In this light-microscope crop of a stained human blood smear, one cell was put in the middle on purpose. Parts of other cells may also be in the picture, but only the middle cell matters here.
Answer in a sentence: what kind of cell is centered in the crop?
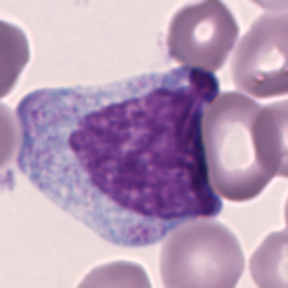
For this crop, the central cell is a promyelocyte.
